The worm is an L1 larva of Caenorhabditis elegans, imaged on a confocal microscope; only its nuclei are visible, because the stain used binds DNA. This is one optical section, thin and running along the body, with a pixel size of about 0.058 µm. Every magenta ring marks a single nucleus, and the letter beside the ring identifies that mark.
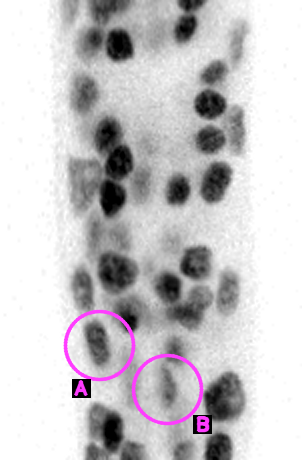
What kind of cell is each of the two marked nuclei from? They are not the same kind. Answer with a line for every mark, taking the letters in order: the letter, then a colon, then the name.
A: hypodermal cell (hyp)
B: pharyngeal muscle cell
